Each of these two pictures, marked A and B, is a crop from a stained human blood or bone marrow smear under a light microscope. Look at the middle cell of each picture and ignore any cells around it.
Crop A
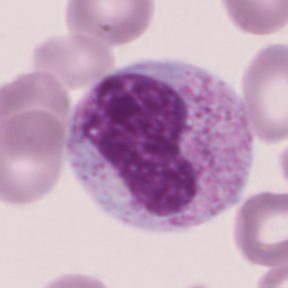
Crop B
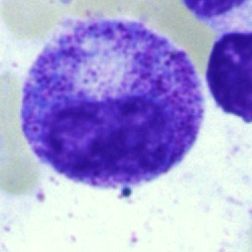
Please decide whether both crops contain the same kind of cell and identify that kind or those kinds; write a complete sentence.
No, crop A contains a metamyelocyte, while crop B contains a myelocyte.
